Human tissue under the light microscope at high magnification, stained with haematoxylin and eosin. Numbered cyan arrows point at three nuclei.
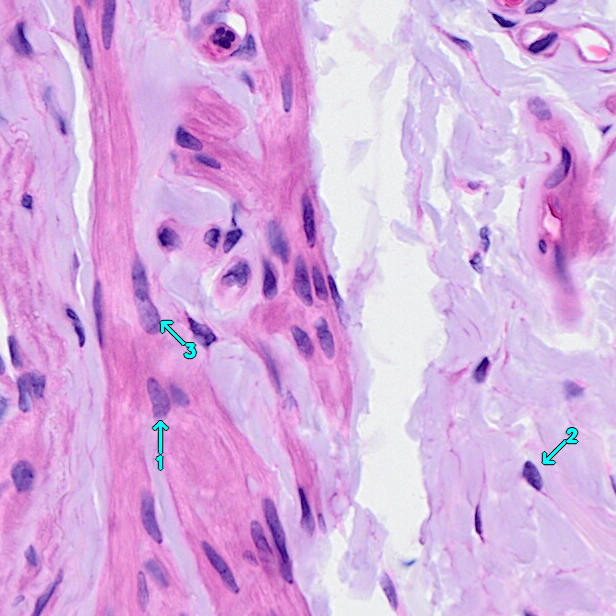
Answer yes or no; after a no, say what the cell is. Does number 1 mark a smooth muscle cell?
Yes.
